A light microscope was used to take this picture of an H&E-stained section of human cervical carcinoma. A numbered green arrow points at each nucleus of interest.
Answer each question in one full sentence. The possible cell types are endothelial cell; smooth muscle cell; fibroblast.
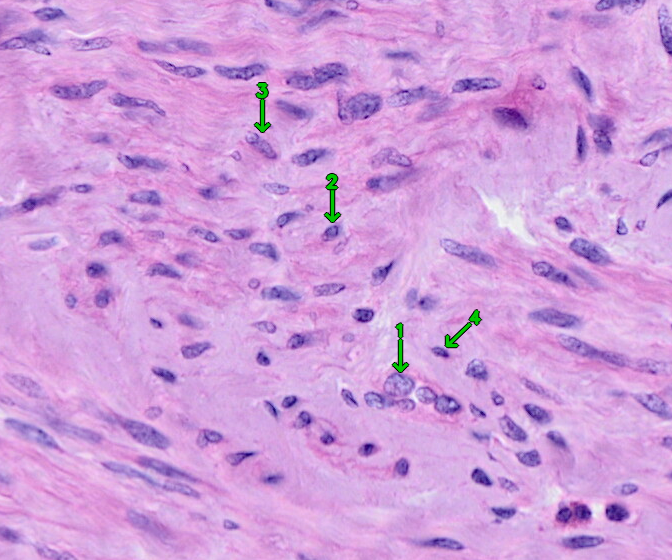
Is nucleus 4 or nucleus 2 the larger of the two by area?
It is nucleus 2, which covers about 2 times the area of nucleus 4.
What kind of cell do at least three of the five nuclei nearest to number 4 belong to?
Of the five nuclei nearest to number 4, most belong to endothelial cells.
